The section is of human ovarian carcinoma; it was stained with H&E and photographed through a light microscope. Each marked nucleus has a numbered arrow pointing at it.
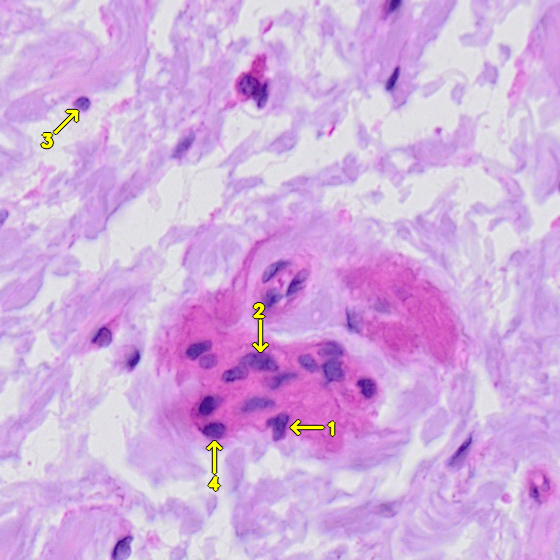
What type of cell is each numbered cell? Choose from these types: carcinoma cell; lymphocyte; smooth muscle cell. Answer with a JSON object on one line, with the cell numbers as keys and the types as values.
{"1": "smooth muscle cell", "2": "smooth muscle cell", "3": "lymphocyte", "4": "smooth muscle cell"}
